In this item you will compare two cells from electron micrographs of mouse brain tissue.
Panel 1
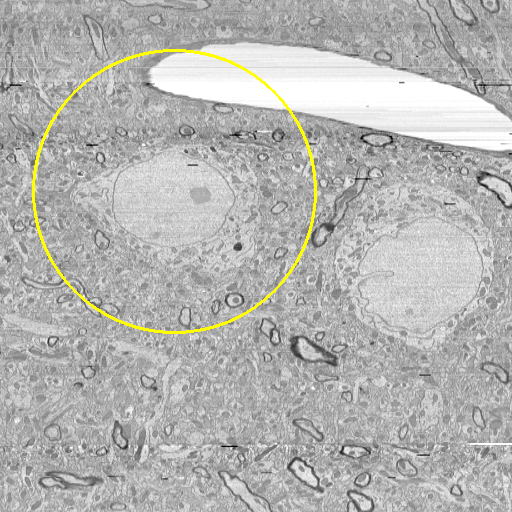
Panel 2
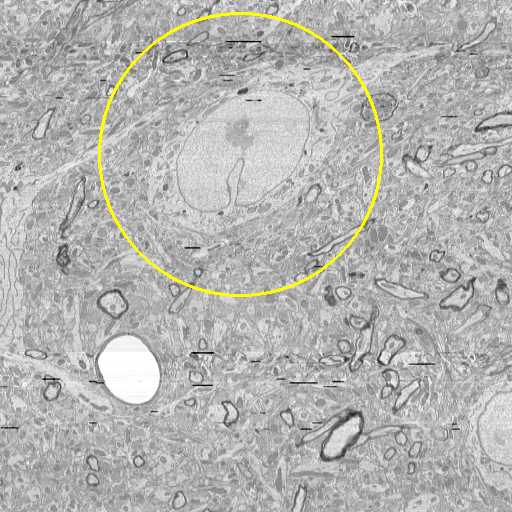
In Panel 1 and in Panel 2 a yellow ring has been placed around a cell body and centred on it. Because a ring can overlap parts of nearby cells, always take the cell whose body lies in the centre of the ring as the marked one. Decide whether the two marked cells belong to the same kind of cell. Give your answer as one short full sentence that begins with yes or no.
Yes, the two marked cells belong to the same kind of cell.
